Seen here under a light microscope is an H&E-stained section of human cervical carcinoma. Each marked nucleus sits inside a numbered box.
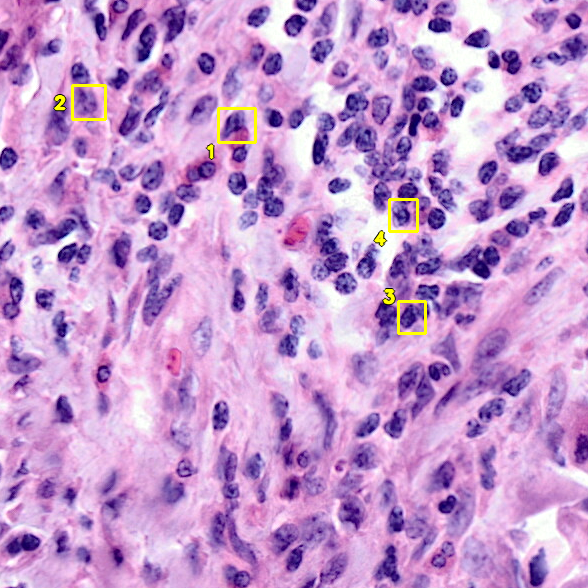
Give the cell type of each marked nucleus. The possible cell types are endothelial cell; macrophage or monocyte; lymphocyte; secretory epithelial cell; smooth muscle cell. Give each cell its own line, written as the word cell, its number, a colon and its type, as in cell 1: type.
cell 1: lymphocyte
cell 2: macrophage or monocyte
cell 3: lymphocyte
cell 4: lymphocyte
